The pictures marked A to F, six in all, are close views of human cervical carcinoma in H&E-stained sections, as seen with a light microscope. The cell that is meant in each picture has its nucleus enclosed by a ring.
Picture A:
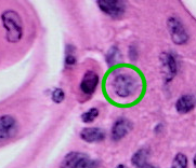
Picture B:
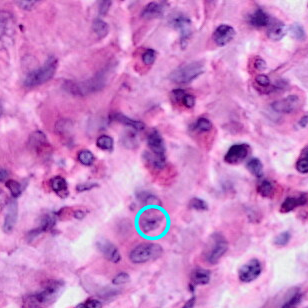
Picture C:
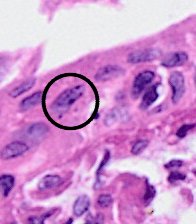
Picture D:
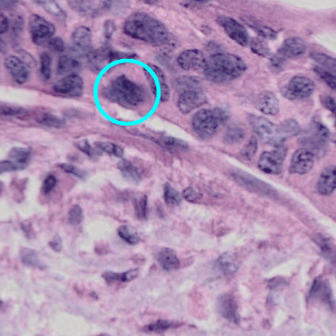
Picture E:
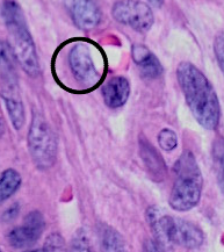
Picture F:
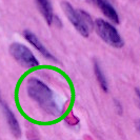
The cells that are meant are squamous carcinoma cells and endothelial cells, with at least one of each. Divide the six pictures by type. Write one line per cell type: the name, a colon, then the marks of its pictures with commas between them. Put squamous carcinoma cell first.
squamous carcinoma cell: A, C, D
endothelial cell: B, E, F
